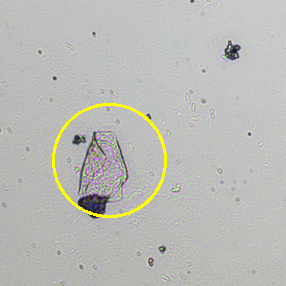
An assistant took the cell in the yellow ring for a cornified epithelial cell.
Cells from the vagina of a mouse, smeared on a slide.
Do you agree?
I agree, it is a cornified epithelial cell.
